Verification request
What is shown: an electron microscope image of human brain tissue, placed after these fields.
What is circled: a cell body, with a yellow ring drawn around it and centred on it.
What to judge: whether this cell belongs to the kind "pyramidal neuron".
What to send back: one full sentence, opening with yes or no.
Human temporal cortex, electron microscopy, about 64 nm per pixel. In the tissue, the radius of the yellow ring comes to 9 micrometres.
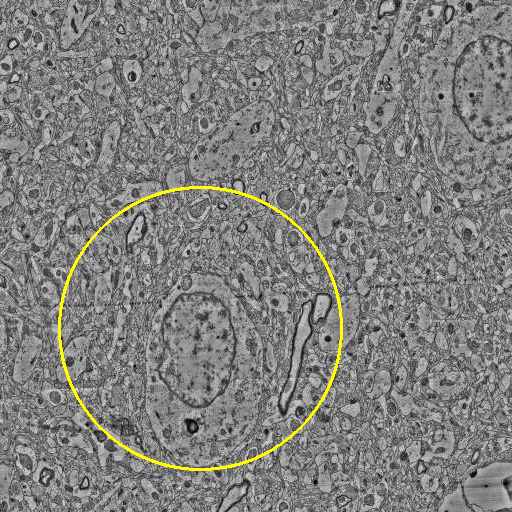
Yes, the cell on which the yellow ring is centred in the picture is of that kind.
